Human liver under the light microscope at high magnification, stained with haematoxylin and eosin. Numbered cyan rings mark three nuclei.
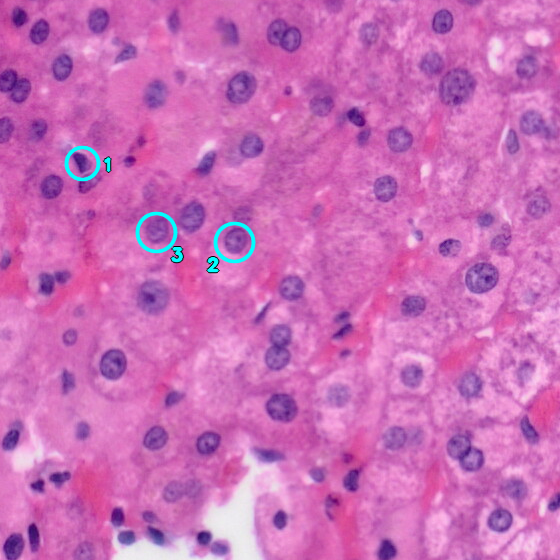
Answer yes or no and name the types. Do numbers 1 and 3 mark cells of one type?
No, just to clarify, cell 1 is a fibroblast or stellate cell and cell 3 is a hepatocyte.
